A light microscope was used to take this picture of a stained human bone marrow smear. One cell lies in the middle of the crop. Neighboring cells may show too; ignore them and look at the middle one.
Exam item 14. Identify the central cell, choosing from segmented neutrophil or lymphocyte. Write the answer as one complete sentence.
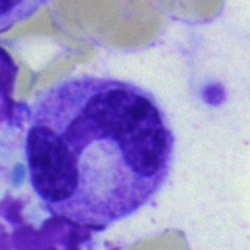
The central cell, amid any neighbouring cells, is a segmented neutrophil.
